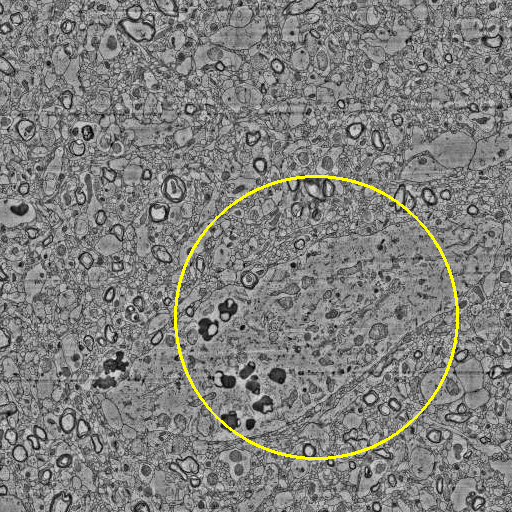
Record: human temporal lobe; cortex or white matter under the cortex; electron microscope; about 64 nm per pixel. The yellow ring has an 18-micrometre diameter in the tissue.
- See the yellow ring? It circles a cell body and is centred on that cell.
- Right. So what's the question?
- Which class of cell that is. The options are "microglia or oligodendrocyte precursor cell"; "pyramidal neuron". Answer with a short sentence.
The centre of the ring holds a pyramidal neuron.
